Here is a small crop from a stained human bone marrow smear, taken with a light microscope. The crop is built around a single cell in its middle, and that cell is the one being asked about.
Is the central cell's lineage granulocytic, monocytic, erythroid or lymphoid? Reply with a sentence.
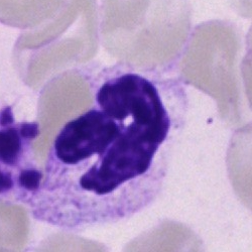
The granulocytic lineage includes the cell at the center of the crop.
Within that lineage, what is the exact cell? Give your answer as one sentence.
The cell in the middle of this crop is a segmented neutrophil.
